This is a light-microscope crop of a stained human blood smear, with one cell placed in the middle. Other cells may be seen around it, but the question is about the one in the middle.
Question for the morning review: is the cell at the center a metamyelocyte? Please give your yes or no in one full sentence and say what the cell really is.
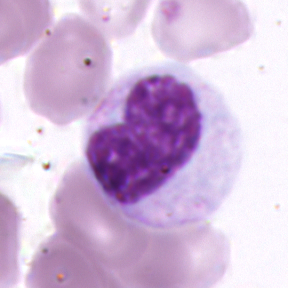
Yes, the central cell of this crop corresponds to a metamyelocyte.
